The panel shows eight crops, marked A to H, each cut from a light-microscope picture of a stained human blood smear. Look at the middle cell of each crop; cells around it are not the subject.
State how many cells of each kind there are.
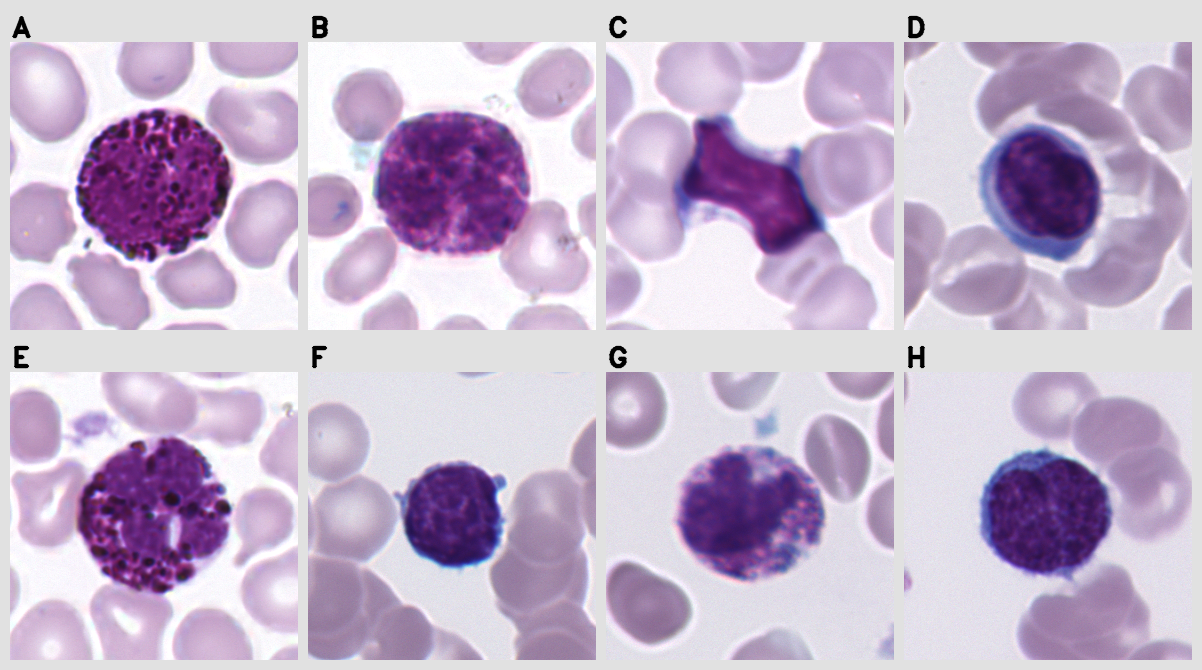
basophil: 4
typical lymphocyte: 4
